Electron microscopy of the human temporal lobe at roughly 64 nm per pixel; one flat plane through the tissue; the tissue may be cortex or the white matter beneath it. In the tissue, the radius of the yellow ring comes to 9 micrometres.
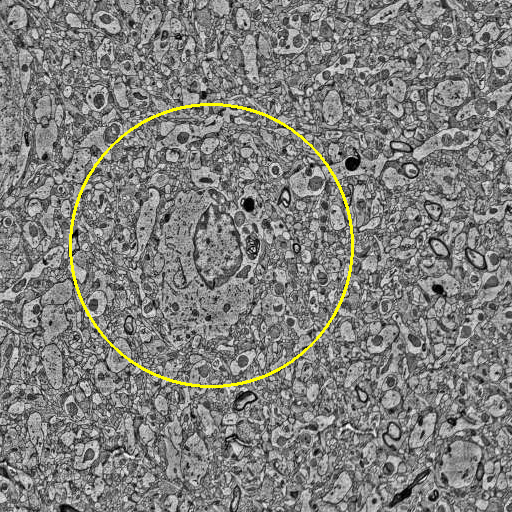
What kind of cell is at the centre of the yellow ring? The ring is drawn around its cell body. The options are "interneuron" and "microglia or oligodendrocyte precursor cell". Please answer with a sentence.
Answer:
The yellow ring marks the cell body of a microglial cell or oligodendrocyte precursor cell.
